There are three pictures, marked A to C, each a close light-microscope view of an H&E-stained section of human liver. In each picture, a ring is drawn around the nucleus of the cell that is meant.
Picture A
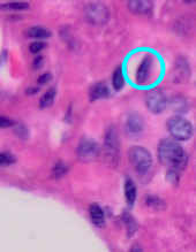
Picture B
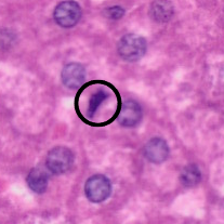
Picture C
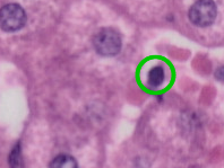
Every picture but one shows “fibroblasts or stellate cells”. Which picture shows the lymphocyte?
C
